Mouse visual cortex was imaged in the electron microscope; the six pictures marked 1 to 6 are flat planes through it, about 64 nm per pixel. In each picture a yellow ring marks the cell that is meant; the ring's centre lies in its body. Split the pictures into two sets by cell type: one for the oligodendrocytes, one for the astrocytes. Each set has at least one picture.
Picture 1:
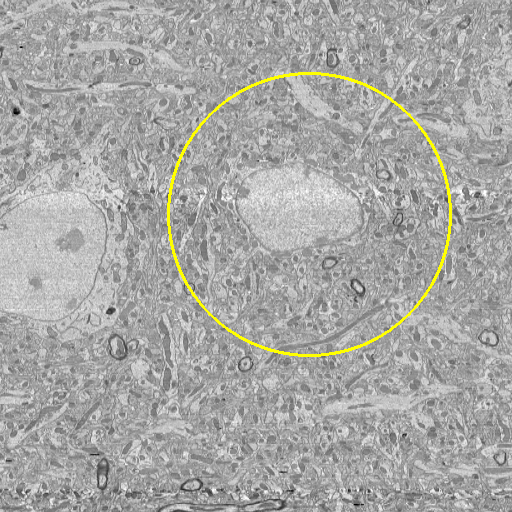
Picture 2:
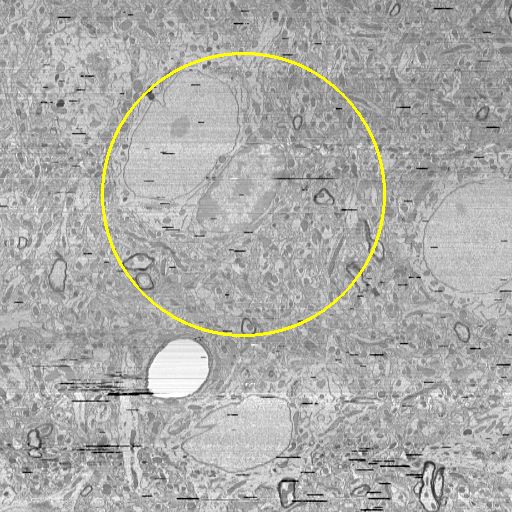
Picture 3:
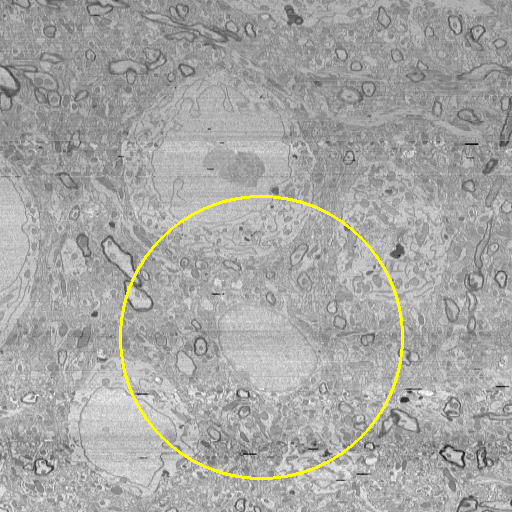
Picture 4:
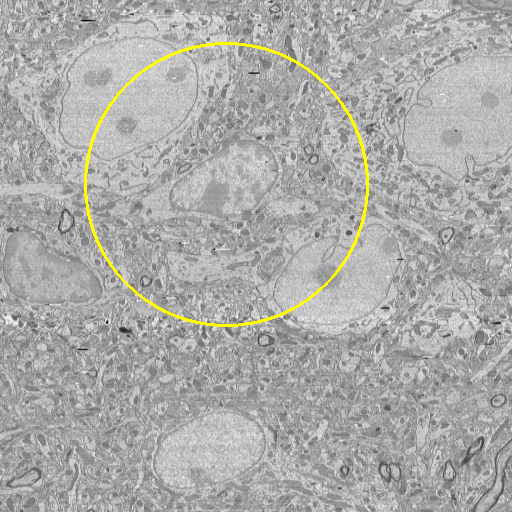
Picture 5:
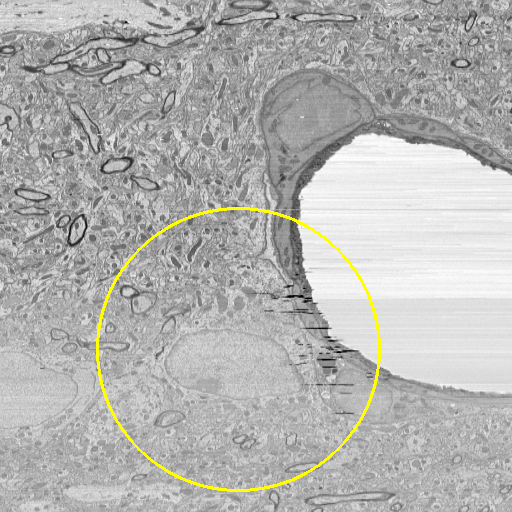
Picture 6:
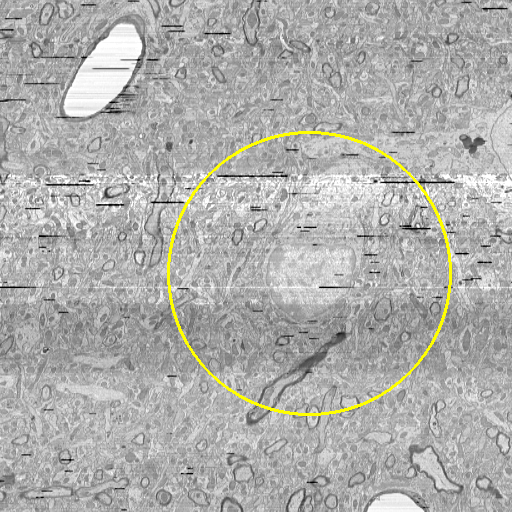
Pictures 2, 4 and 6 show oligodendrocytes, and pictures 1, 3 and 5 show astrocytes.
